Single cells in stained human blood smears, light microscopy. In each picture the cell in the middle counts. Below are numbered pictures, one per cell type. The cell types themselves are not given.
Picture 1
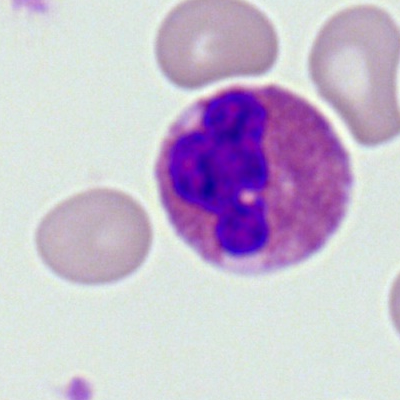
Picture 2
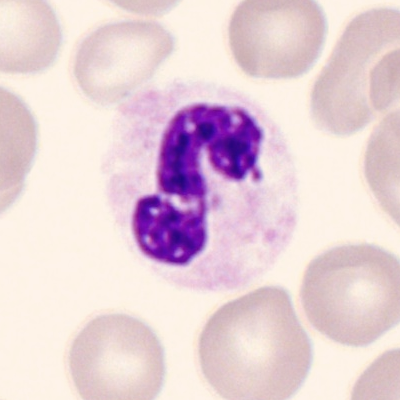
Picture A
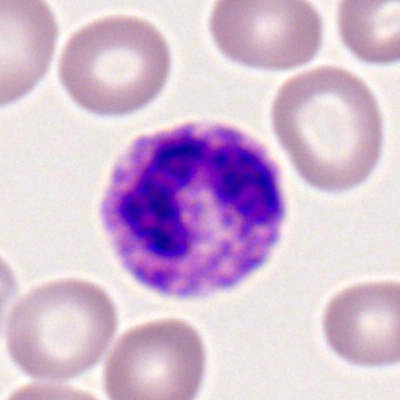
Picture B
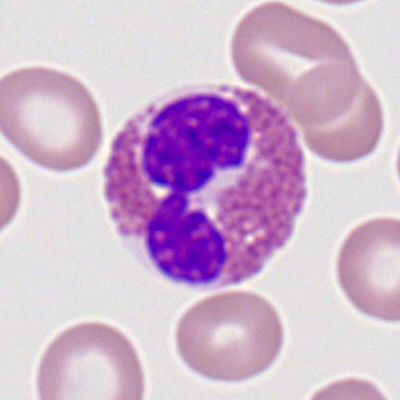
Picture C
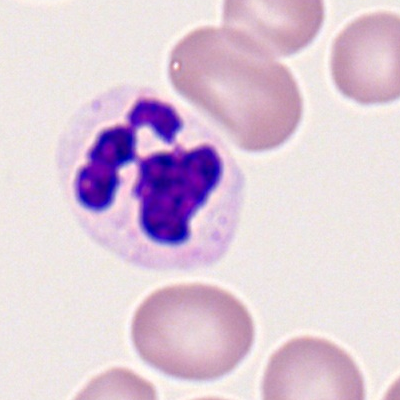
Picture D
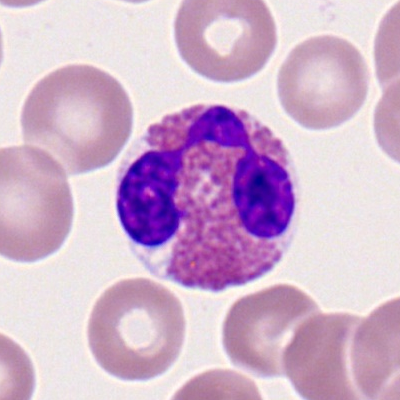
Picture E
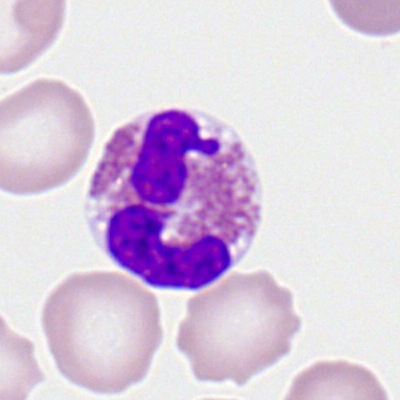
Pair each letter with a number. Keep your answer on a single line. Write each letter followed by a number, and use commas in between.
A 1, B 1, C 2, D 1, E 1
